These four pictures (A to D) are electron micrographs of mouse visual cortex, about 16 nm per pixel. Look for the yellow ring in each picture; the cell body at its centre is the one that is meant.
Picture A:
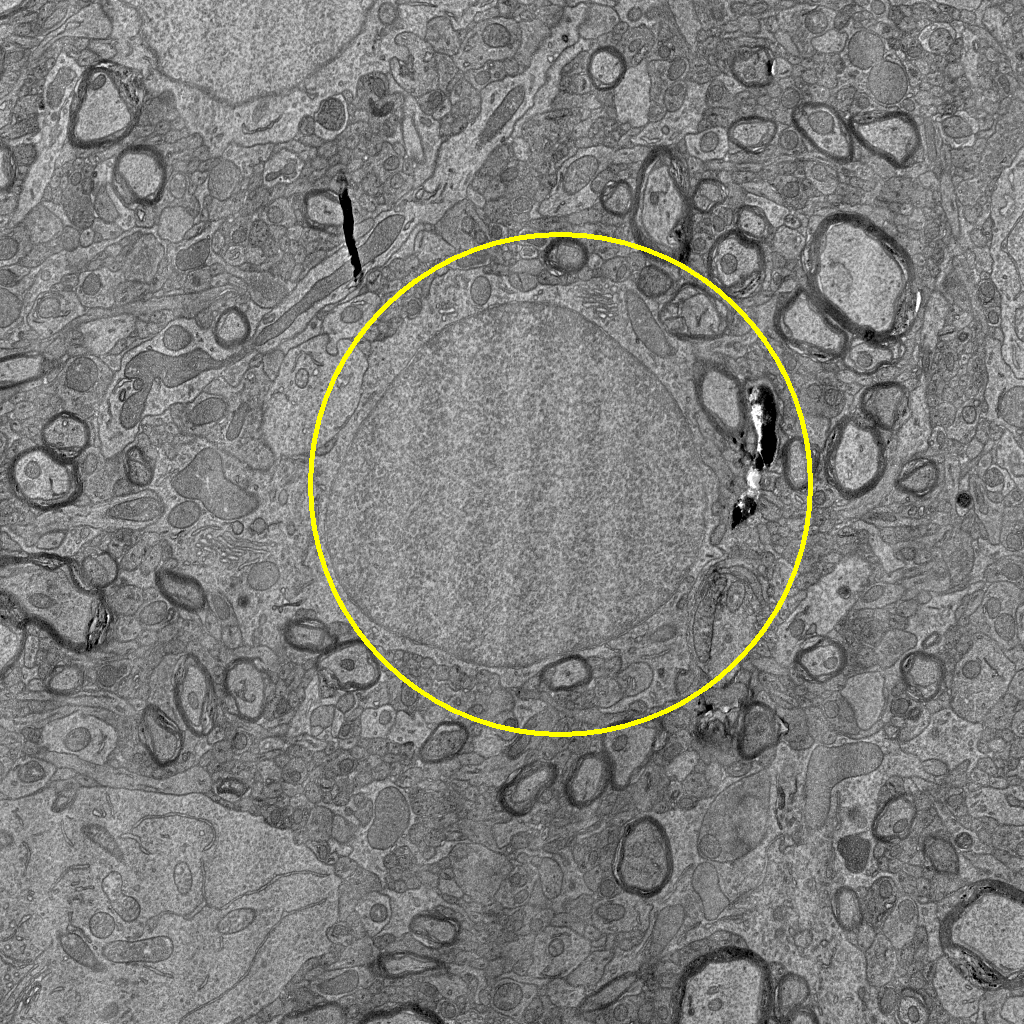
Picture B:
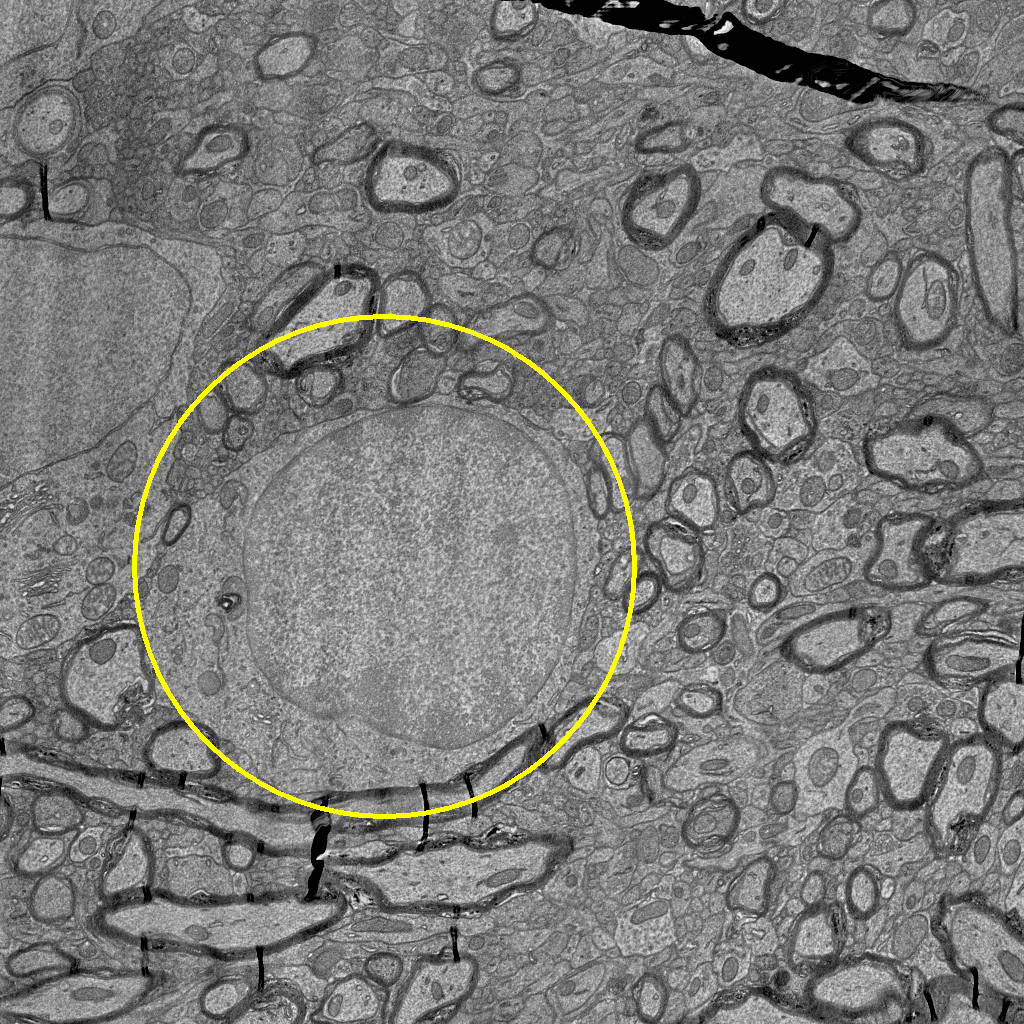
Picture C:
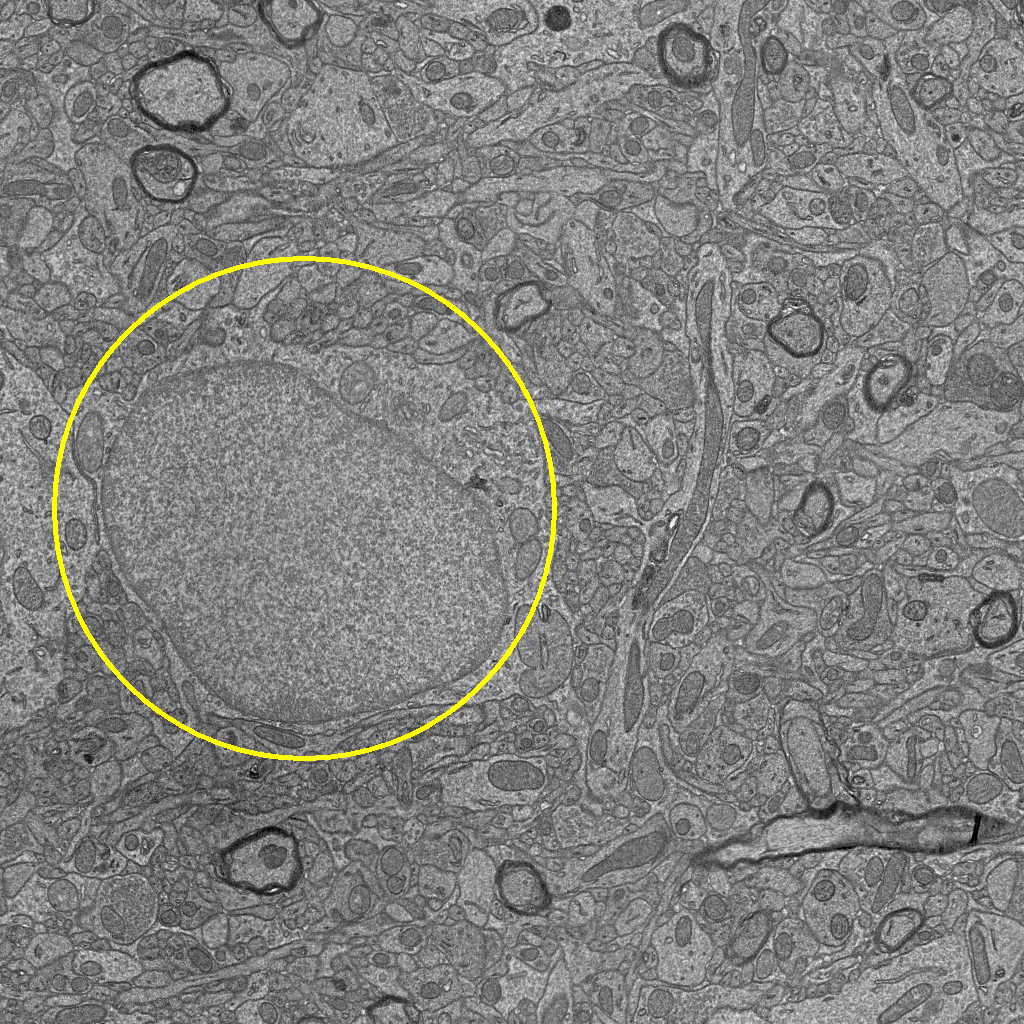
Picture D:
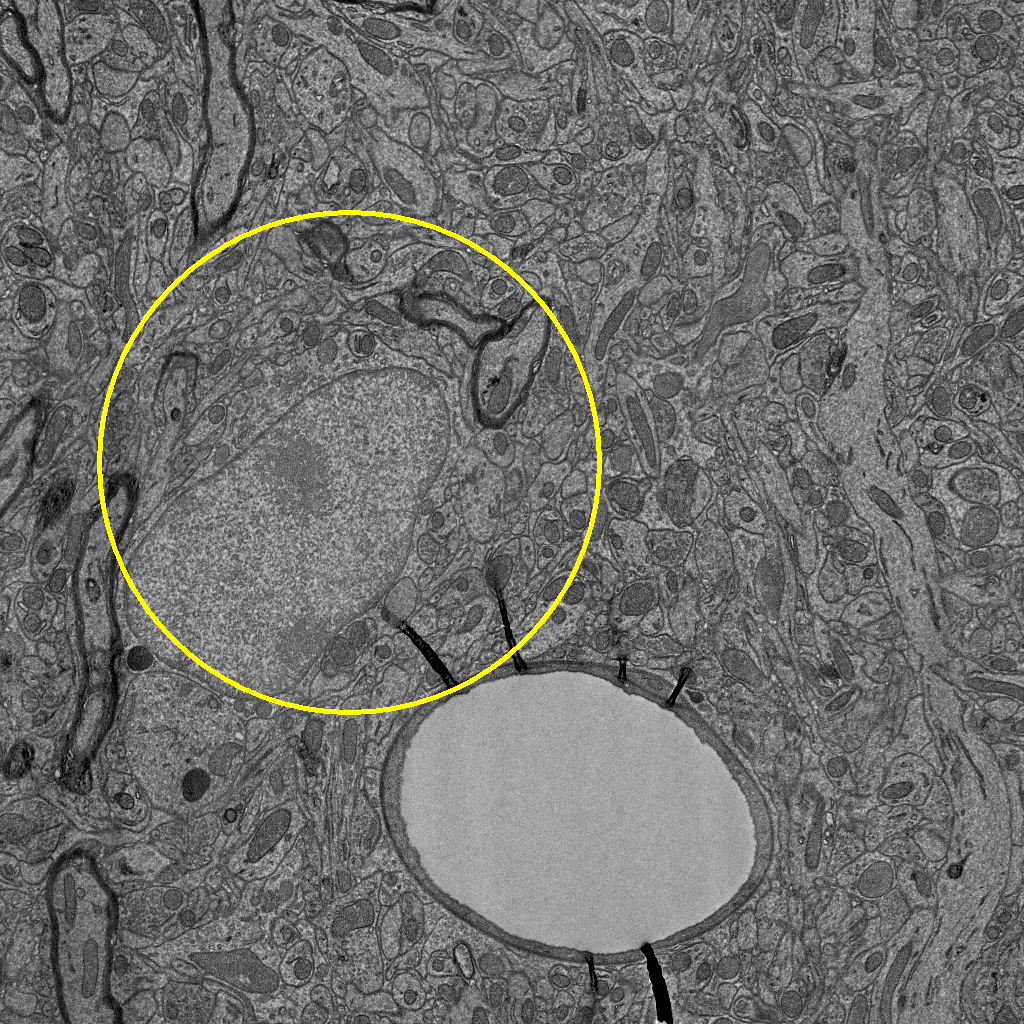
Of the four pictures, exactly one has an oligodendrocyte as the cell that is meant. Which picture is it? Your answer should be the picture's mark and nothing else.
B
